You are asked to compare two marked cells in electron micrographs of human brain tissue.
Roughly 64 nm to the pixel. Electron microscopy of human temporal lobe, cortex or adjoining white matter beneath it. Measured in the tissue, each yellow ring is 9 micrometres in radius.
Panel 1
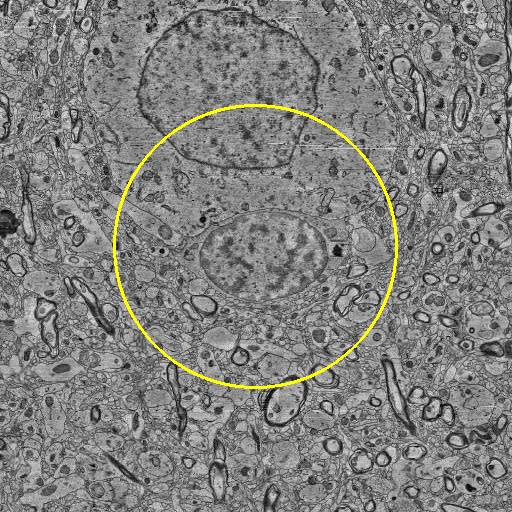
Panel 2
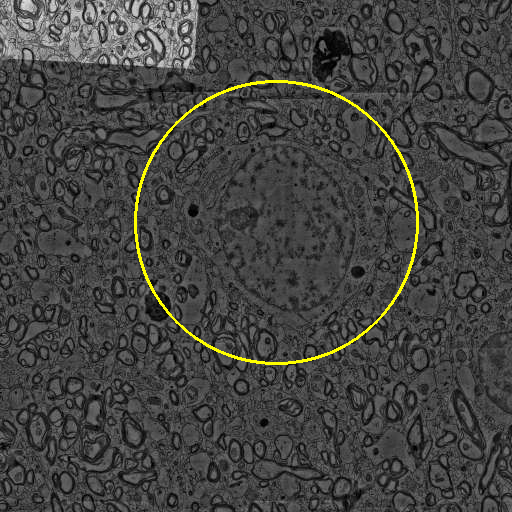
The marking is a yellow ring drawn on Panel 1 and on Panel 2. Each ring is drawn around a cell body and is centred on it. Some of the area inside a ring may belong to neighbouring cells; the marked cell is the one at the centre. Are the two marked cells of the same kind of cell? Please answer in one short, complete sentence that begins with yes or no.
No, the two marked cells are of two kinds.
